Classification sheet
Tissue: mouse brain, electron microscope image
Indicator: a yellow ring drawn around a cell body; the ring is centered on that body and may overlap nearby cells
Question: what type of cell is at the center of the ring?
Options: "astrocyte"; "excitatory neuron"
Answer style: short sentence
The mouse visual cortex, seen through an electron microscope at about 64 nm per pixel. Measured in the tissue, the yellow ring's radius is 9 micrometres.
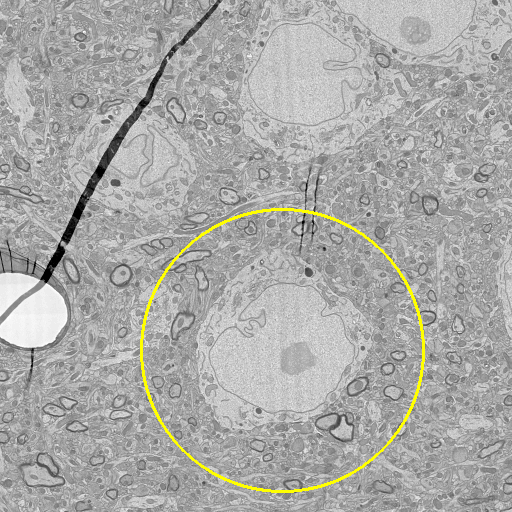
At the ring's center is an excitatory neuron.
